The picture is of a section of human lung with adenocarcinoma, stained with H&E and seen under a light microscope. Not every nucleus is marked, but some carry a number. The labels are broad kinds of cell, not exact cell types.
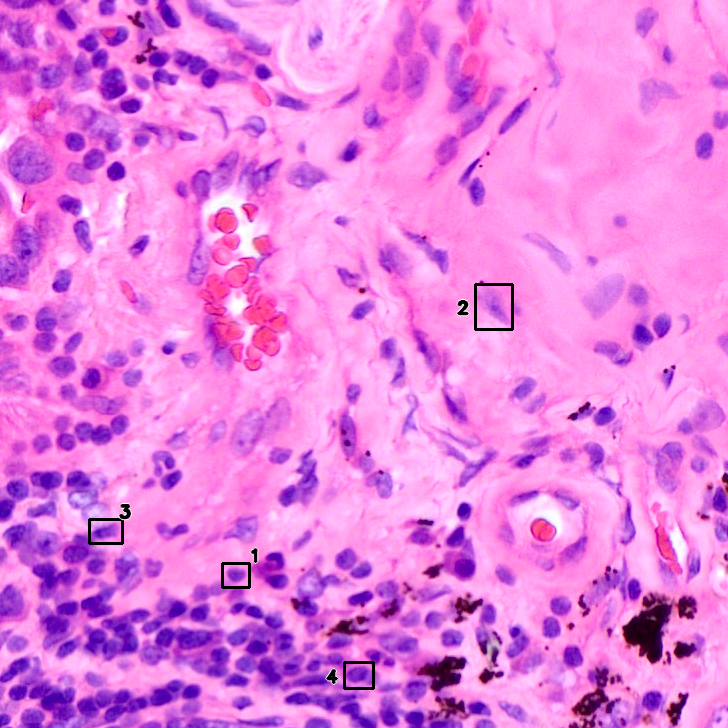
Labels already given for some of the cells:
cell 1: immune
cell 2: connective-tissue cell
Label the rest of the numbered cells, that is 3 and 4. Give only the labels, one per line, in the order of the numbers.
immune
immune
